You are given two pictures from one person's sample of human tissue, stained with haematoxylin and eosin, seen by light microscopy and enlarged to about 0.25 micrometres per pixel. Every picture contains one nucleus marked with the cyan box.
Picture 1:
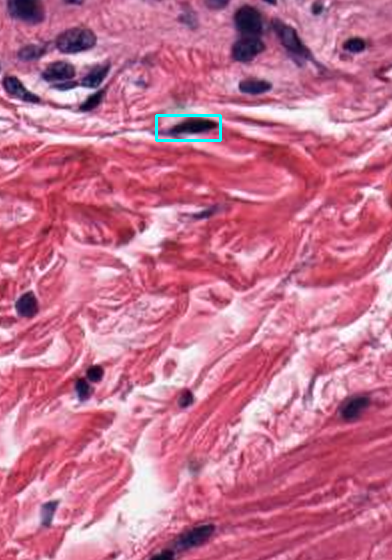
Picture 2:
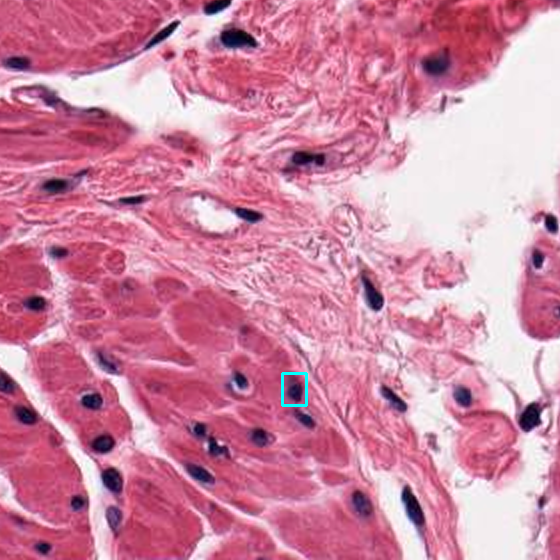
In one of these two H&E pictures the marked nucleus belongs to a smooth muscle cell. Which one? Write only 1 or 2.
2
